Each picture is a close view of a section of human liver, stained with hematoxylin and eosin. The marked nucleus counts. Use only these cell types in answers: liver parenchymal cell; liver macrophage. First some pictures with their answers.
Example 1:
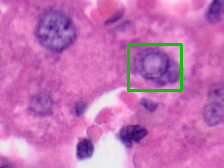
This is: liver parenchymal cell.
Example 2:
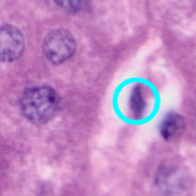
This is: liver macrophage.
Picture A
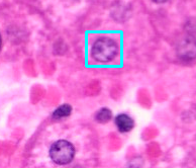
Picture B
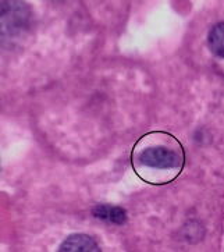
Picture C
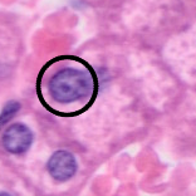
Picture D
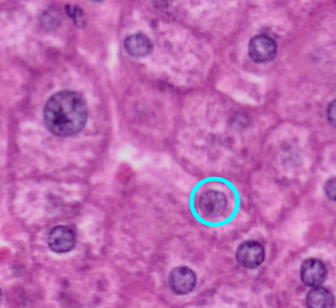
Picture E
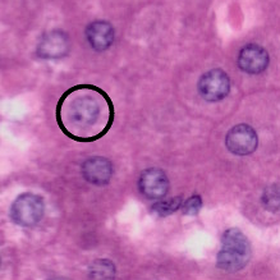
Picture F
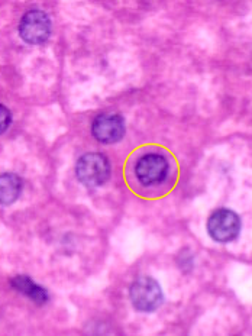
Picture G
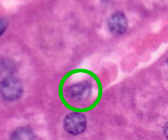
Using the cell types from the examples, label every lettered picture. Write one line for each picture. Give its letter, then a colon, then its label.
A: liver parenchymal cell.
B: liver macrophage.
C: liver parenchymal cell.
D: liver parenchymal cell.
E: liver parenchymal cell.
F: liver parenchymal cell.
G: liver macrophage.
